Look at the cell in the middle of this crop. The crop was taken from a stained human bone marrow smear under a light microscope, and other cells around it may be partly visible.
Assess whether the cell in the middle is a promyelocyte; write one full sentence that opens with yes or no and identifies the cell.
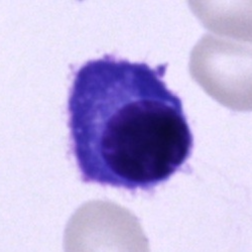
No, the cell positioned in the middle is a plasma cell, not a promyelocyte.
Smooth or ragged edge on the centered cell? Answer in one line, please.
Around its circumference, the cell has an uneven edge, ragged or projecting in places.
